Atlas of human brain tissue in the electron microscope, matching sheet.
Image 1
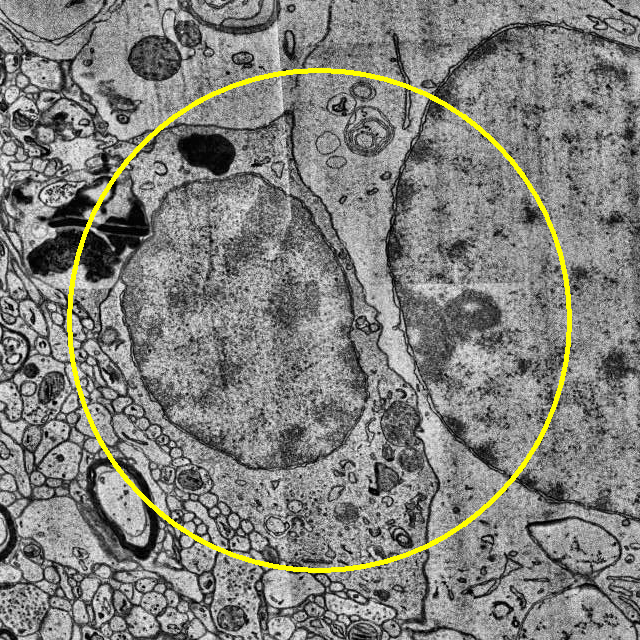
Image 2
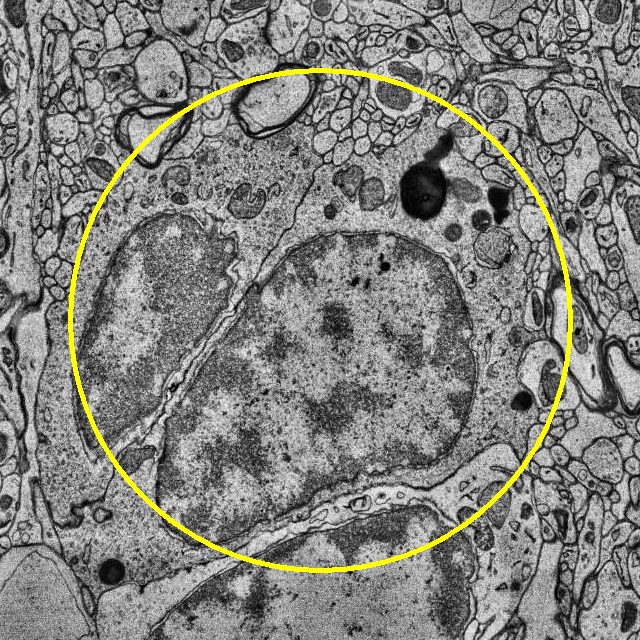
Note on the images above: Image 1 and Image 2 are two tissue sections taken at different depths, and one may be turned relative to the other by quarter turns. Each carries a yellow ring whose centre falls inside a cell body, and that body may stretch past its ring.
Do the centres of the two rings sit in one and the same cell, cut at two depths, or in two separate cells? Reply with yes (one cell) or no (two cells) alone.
no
